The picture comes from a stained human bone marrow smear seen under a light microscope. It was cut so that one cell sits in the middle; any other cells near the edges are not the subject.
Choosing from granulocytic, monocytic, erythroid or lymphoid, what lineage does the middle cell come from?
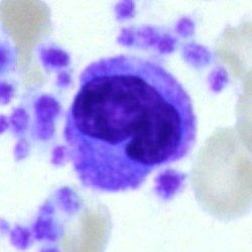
monocytic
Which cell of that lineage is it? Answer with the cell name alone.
monocyte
